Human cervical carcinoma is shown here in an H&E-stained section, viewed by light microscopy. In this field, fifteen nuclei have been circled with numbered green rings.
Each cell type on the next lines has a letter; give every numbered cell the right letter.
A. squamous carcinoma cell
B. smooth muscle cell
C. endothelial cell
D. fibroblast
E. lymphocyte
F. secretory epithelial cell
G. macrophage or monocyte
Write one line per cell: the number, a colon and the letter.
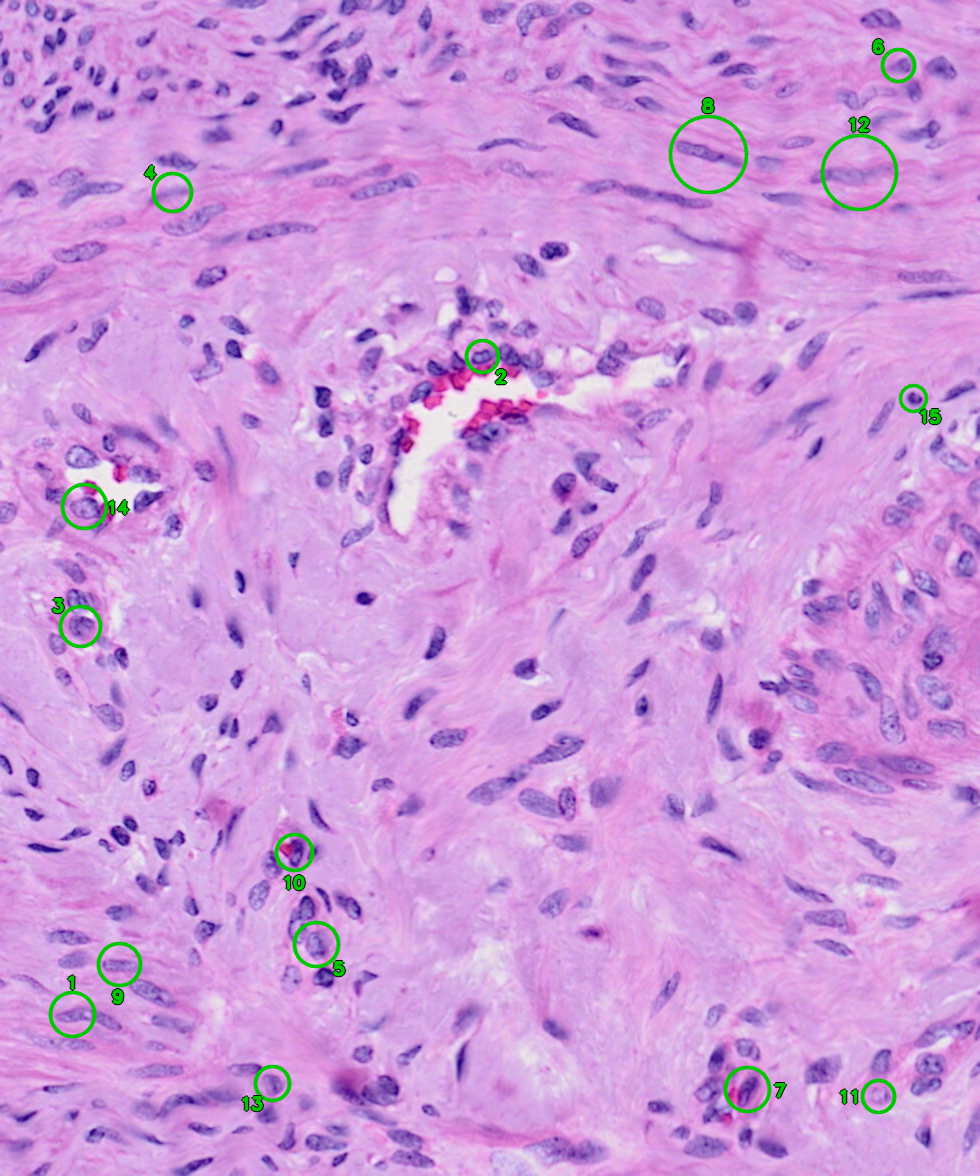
1: B
2: C
3: C
4: B
5: C
6: B
7: C
8: B
9: B
10: C
11: C
12: B
13: D
14: C
15: D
